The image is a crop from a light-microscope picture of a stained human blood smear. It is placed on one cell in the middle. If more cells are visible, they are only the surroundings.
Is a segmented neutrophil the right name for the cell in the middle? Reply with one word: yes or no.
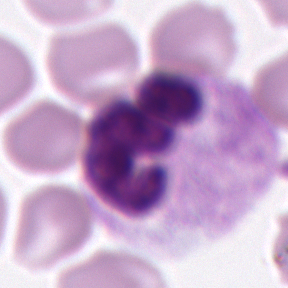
yes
